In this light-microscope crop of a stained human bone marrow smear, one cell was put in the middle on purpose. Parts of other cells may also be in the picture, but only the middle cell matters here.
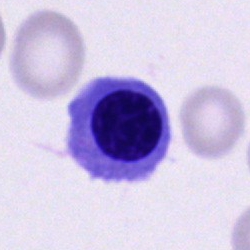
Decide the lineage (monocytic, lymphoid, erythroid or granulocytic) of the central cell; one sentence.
The lineage represented by the central cell is erythroid.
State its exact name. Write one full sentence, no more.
This particular crop is centered on an erythroblast.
